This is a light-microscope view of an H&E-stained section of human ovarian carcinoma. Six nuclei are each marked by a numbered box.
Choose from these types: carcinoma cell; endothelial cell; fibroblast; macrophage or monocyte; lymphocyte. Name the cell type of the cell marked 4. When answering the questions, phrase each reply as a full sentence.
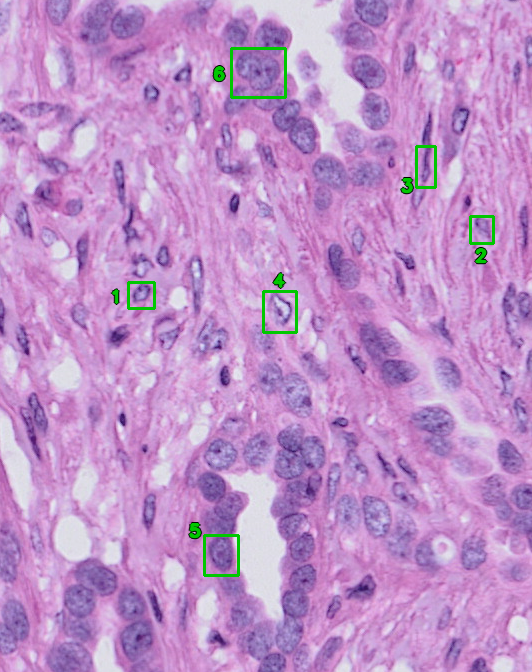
The marked nucleus 4 is that of a fibroblast.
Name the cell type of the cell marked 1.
The nucleus with number 1 is that of a fibroblast.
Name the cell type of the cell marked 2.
Regarding cell 2, this one is a fibroblast.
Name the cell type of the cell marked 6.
The cell identified by number 6 is a carcinoma cell.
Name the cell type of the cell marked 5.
Cell 5 in the field of view is a carcinoma cell.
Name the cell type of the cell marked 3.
The nucleus labeled 3 belongs to a fibroblast.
